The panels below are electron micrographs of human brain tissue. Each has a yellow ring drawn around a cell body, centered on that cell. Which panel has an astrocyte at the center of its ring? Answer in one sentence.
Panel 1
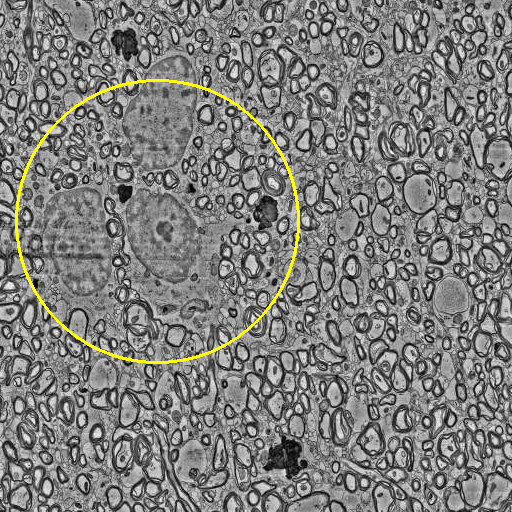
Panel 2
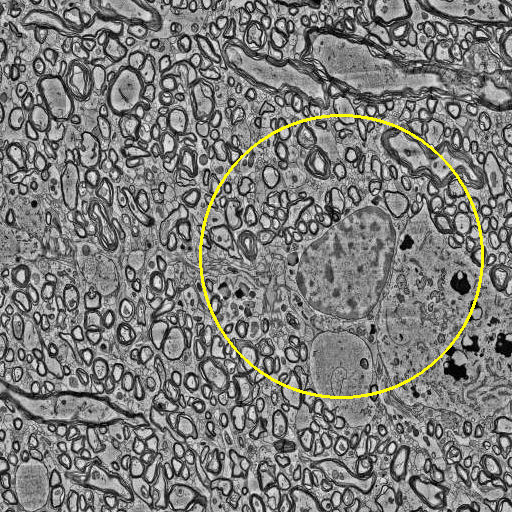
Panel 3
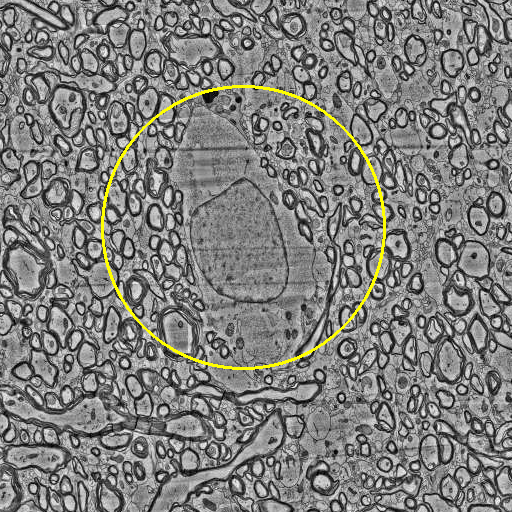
Panel 3 has it at the center of its ring.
